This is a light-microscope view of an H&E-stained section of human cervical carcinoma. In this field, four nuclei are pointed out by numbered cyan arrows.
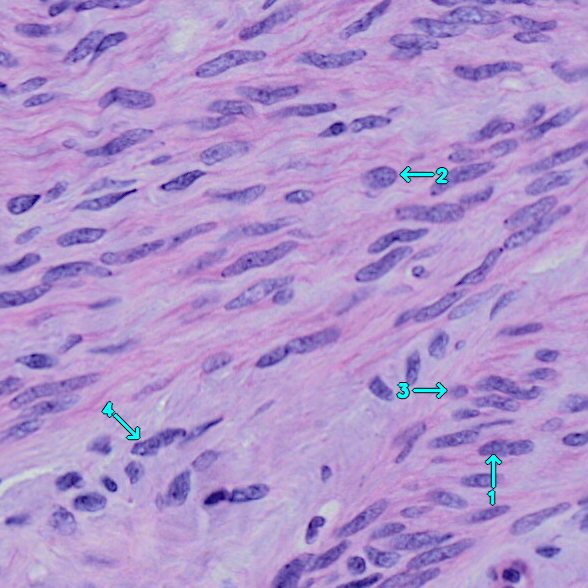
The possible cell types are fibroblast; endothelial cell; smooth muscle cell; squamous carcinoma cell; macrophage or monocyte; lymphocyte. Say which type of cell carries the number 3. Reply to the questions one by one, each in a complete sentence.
Corresponding to a smooth muscle cell is the cell labelled 3.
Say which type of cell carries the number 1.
Regarding cell 1, this one is a smooth muscle cell.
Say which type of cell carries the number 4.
Classified as a fibroblast is the cell with the number 4.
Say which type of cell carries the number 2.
The marked cell with the number 2 is recognised as a smooth muscle cell.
